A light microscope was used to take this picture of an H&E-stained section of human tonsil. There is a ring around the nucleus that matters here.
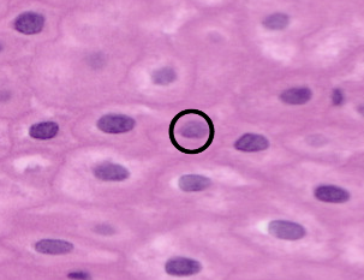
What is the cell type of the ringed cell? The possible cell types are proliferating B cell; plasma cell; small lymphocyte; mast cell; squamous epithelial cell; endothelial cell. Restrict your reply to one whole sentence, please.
By cell type, the ringed cell is a squamous epithelial cell.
